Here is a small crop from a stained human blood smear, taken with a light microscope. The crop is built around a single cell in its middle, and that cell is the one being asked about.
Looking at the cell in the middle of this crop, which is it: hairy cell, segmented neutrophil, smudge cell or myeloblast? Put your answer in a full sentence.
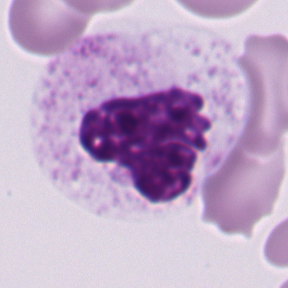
To answer, the cell in the center of the crop is a segmented neutrophil.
